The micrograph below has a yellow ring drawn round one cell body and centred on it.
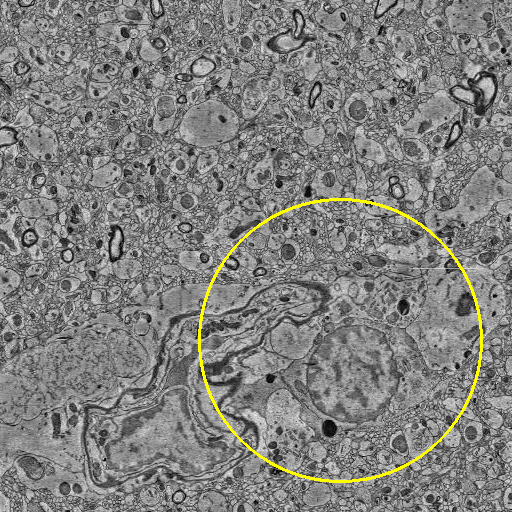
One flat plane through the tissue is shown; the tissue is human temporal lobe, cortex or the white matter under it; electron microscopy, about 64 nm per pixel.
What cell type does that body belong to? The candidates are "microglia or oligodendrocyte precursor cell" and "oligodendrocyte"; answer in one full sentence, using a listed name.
This is an oligodendrocyte, the cell whose body lies at the centre of the ring.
